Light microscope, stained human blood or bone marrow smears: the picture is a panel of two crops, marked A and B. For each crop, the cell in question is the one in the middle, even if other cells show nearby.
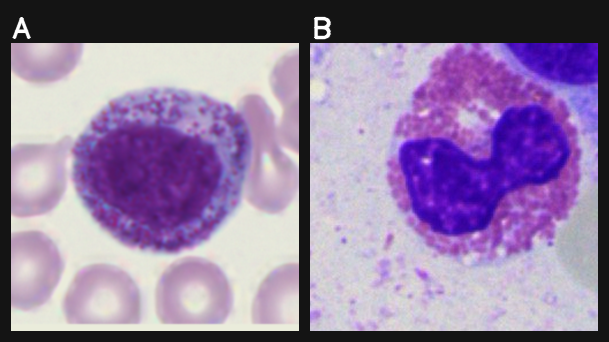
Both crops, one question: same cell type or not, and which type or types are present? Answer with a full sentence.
No, a promyelocyte is in crop A, while an eosinophil is in crop B.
